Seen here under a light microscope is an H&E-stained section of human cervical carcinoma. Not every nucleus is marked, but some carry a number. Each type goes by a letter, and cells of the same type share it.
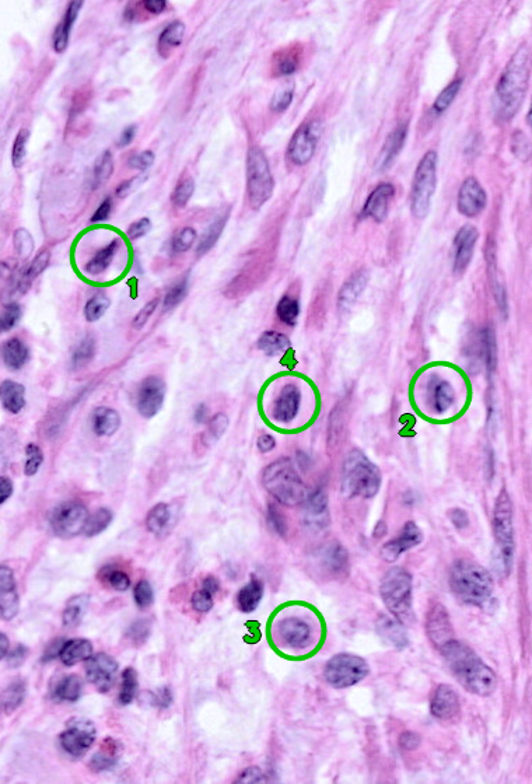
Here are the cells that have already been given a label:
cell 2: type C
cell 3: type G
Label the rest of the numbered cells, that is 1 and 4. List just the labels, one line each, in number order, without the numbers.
type C
type C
